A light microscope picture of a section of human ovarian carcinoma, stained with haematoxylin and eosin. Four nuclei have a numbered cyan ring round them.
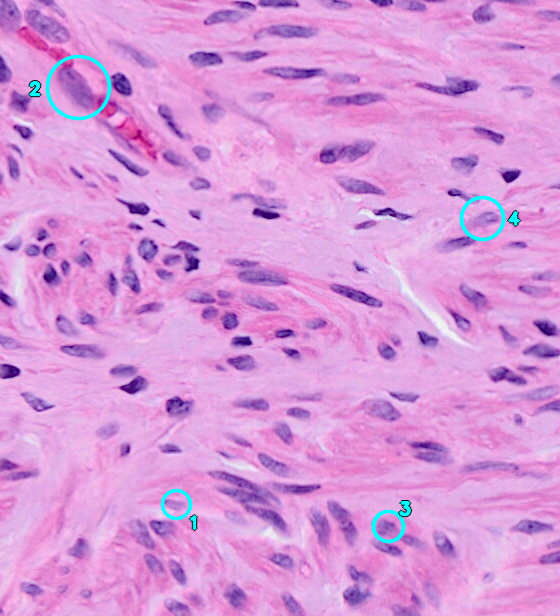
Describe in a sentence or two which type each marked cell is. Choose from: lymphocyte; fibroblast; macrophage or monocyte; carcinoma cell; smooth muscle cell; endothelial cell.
Cell 1 is a smooth muscle cell, cell 2 is an endothelial cell, cell 3 is a smooth muscle cell and cell 4 is a smooth muscle cell.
